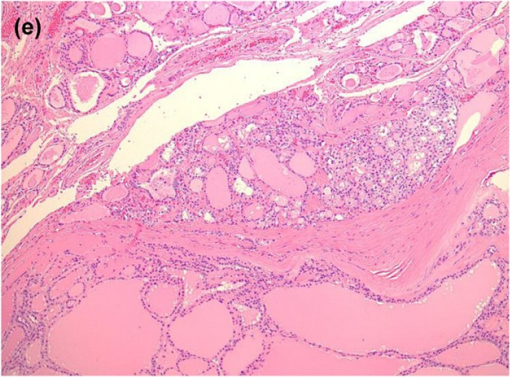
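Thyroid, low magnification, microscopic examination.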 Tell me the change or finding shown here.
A: Capsular invasion.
